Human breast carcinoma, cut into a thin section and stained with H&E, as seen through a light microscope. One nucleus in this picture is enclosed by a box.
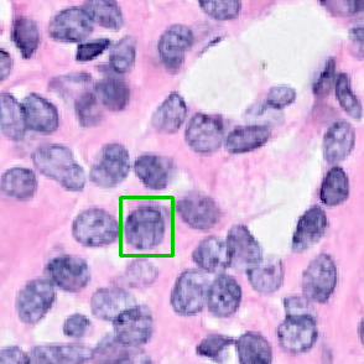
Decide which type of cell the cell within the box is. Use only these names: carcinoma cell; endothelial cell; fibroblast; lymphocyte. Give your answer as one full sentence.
The cell within the box appears to be a carcinoma cell.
